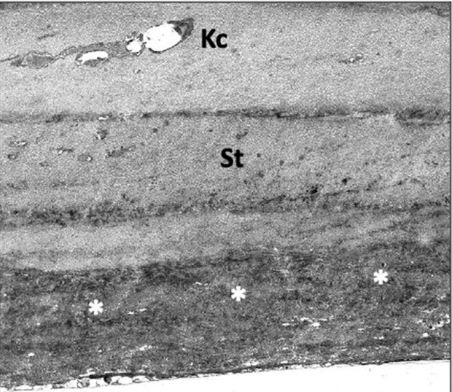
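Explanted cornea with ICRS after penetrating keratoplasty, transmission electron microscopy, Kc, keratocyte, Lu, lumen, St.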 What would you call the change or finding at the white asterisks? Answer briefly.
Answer: Fibrotic stromal changes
